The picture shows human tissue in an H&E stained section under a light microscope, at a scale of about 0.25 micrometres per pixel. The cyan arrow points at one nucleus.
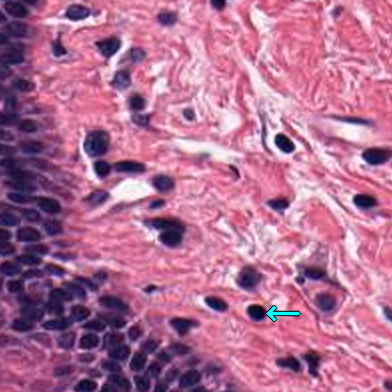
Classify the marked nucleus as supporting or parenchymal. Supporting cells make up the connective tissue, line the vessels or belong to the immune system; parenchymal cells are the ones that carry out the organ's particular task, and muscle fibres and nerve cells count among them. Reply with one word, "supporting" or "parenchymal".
supporting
